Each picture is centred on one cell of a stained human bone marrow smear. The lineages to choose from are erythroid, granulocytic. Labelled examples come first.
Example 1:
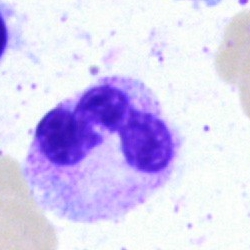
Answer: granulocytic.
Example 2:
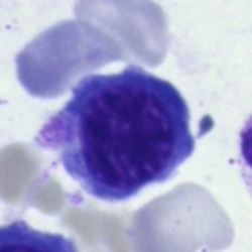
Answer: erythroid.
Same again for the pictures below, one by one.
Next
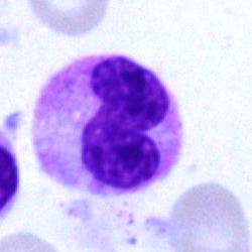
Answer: granulocytic.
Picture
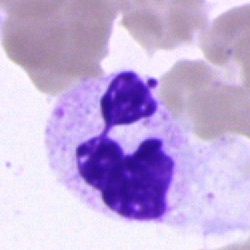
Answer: granulocytic.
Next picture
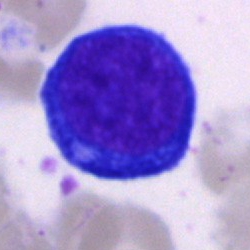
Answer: erythroid.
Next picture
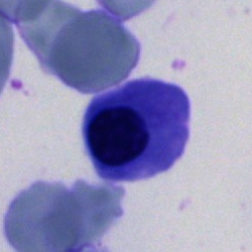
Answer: erythroid.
